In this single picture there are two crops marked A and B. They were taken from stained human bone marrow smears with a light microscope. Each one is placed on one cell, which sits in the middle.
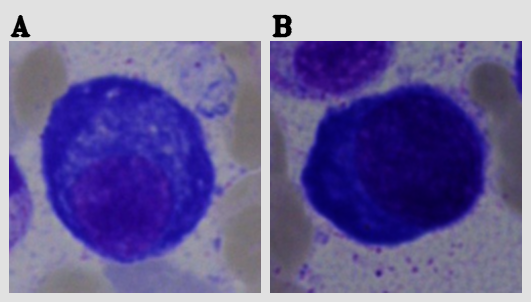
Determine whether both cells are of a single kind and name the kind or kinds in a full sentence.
Yes, the pair of crops both show plasma cells.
